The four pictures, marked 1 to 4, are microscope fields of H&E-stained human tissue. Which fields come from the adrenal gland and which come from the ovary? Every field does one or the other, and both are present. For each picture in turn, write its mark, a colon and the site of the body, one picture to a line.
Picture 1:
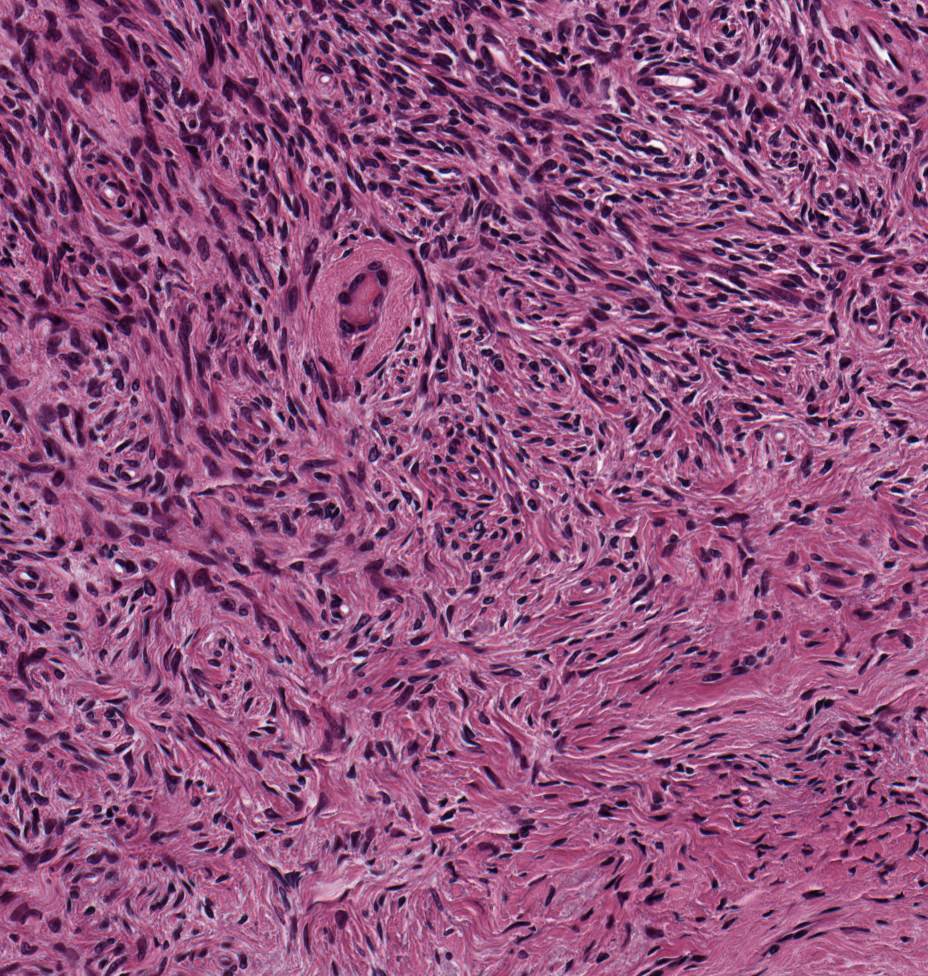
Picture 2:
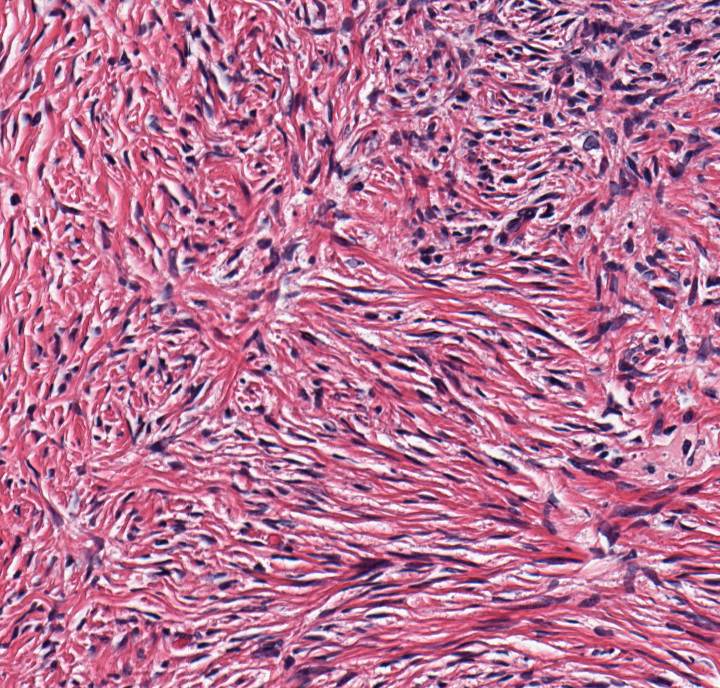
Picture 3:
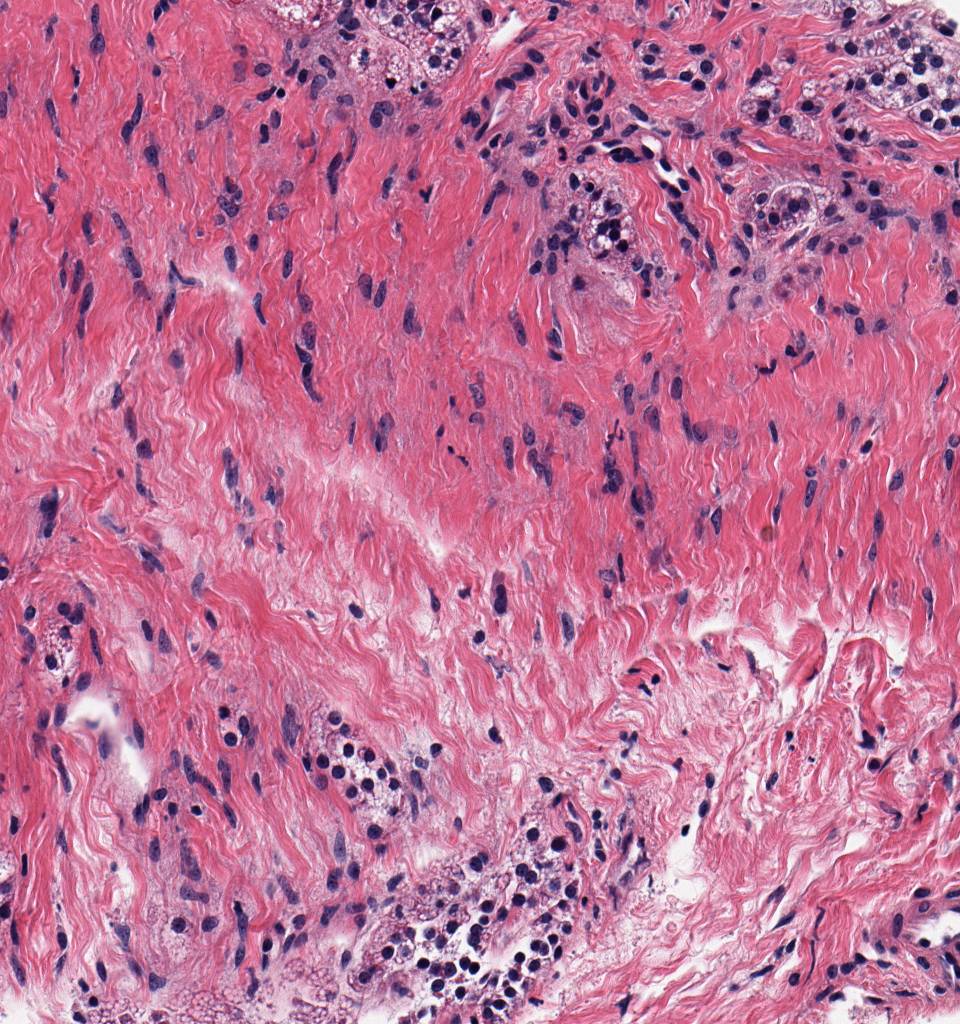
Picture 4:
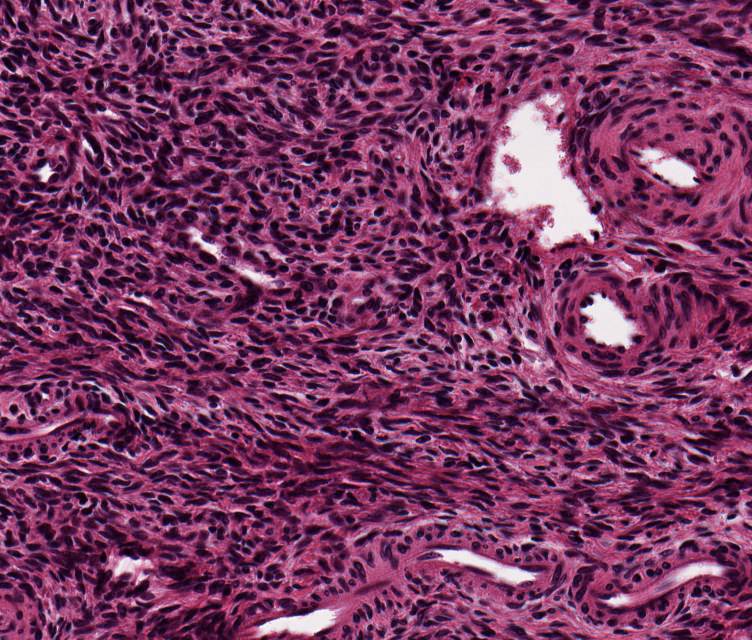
1: ovary
2: ovary
3: adrenal gland
4: ovary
